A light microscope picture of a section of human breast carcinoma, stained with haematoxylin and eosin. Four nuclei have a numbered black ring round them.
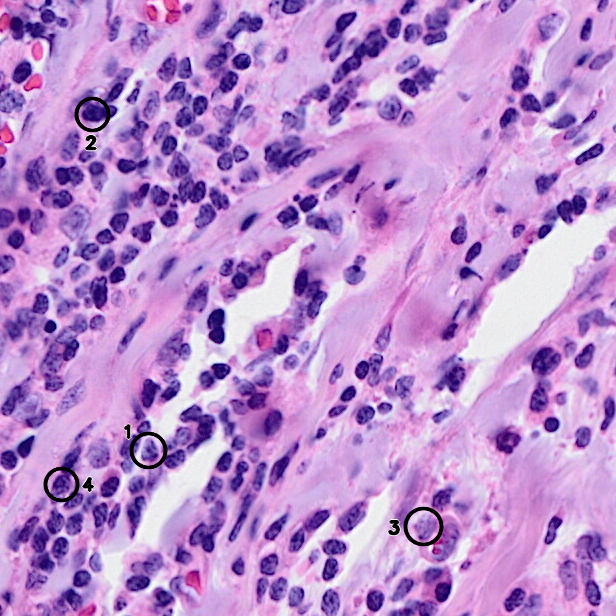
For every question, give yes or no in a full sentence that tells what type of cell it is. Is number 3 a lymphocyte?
No, not a lymphocyte: the cell with number 3 is an endothelial cell.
